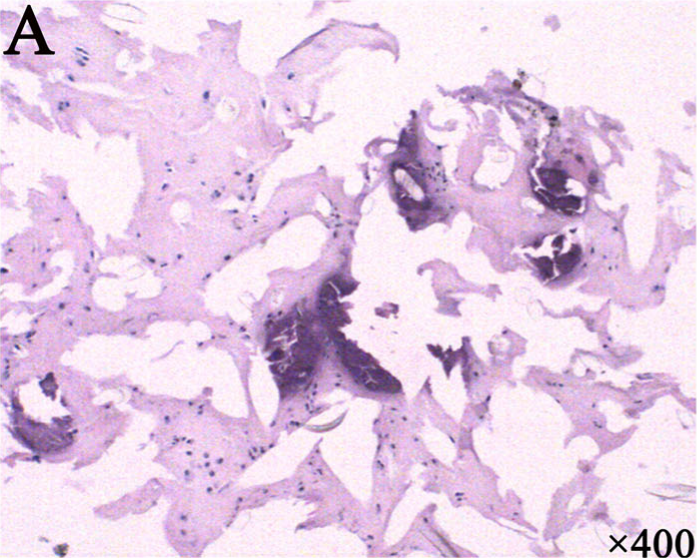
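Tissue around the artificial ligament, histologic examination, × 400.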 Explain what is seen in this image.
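A pale, glassy pink matrix forms irregular branching strands separated by empty spaces, with small rounded nuclei scattered through it, some lying in clear spaces. In several places the matrix is replaced by dark purple, cracked deposits. The matrix with its lodged rounded cells reads as cartilage formed by chondrocytes, and the dark fissured patches as areas of calcification.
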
